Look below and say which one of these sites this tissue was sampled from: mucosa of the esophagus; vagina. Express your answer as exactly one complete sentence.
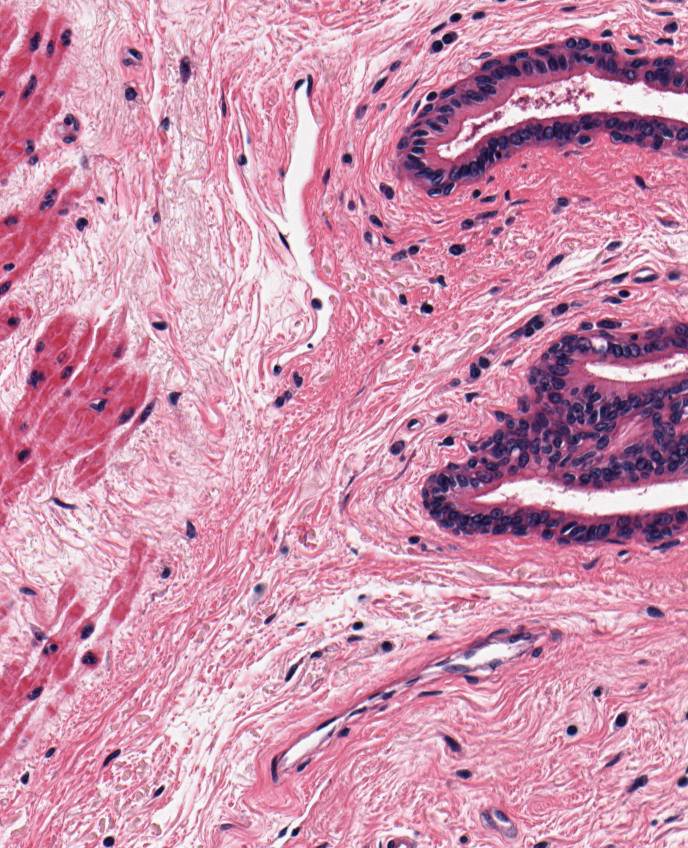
The sample was taken from the mucosa of the esophagus.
